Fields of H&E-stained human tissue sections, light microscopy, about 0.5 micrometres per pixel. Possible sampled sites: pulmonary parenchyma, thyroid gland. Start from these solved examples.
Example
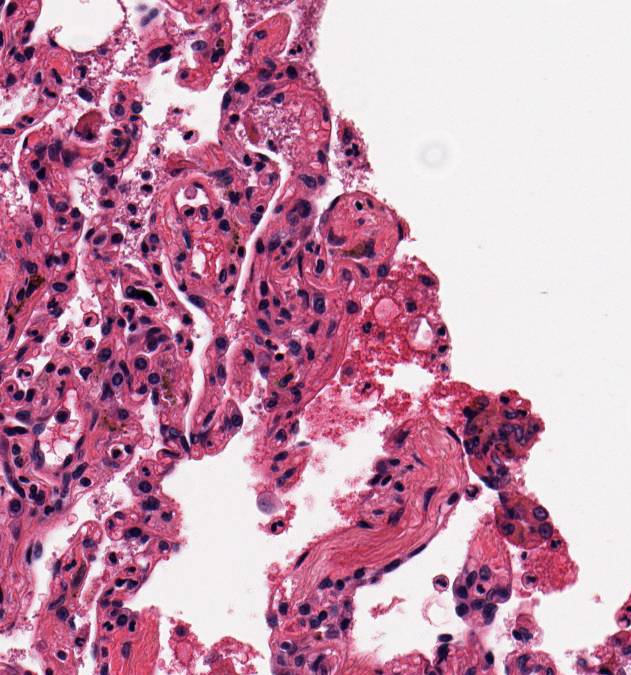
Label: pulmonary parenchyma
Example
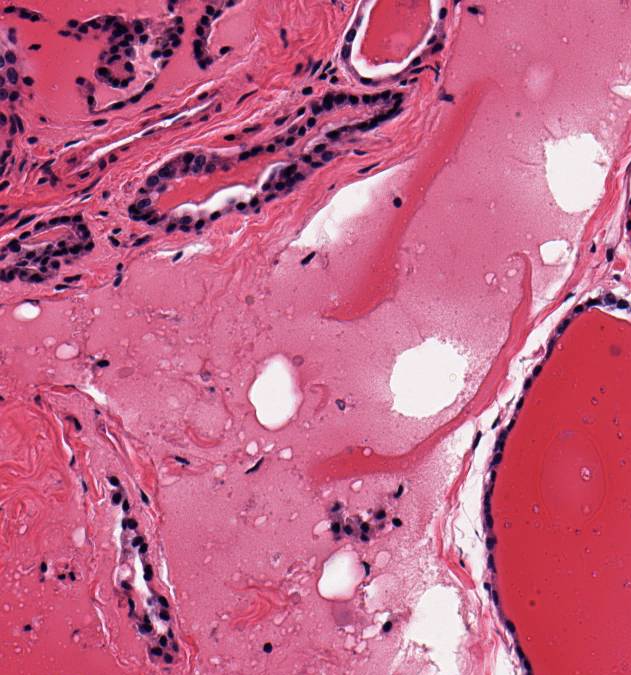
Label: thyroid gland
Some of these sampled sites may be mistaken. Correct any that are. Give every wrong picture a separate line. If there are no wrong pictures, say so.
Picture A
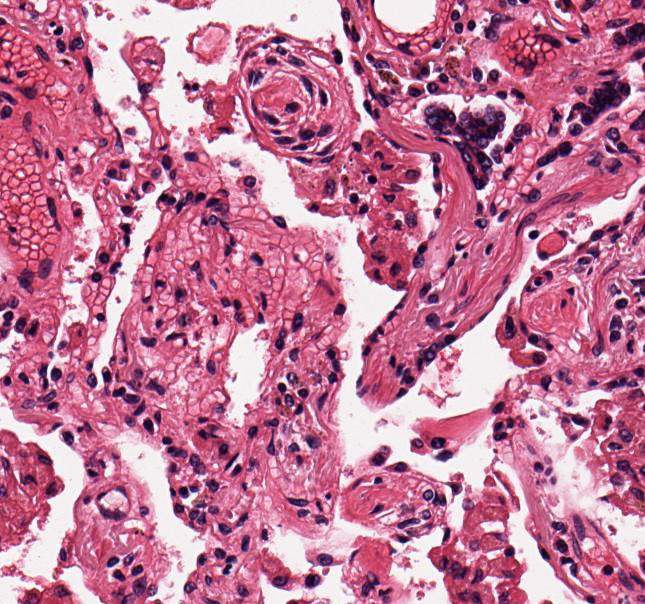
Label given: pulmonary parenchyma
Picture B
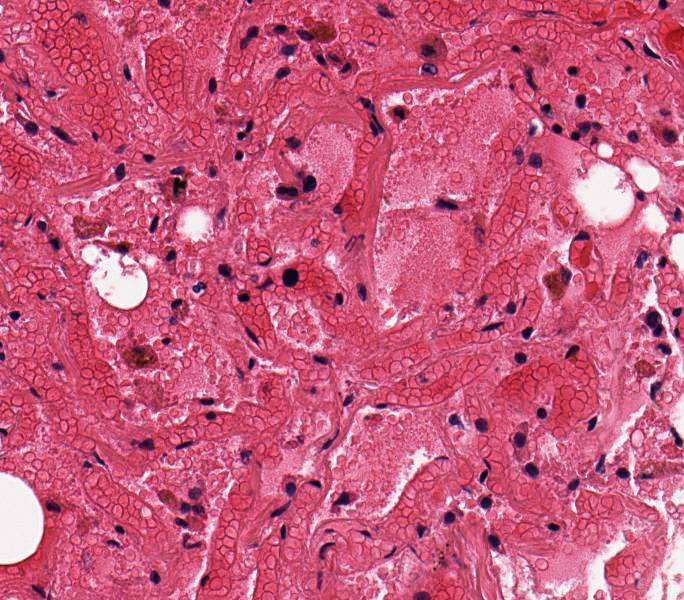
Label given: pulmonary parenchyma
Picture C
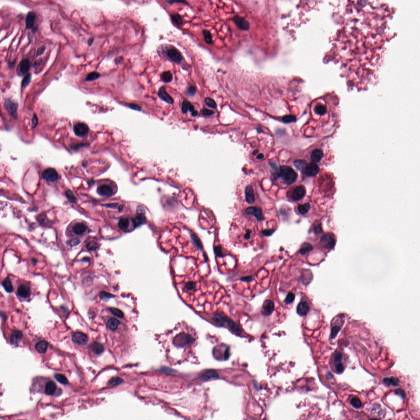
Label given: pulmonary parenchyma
None of the labels needs changing.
